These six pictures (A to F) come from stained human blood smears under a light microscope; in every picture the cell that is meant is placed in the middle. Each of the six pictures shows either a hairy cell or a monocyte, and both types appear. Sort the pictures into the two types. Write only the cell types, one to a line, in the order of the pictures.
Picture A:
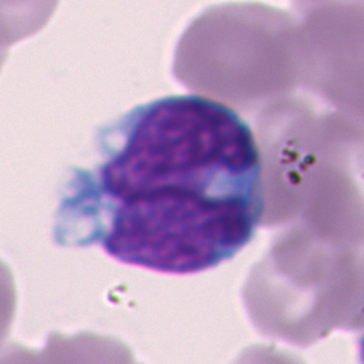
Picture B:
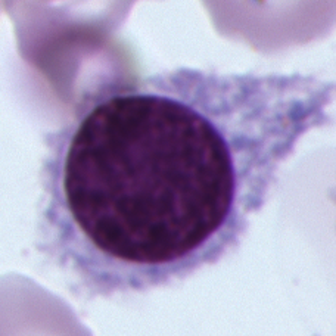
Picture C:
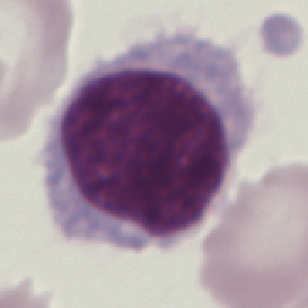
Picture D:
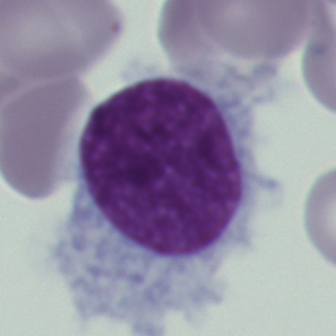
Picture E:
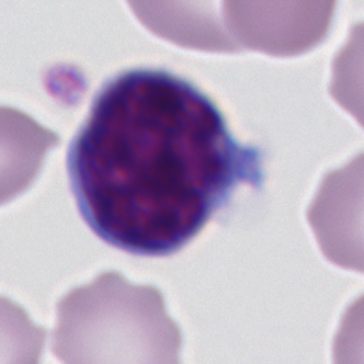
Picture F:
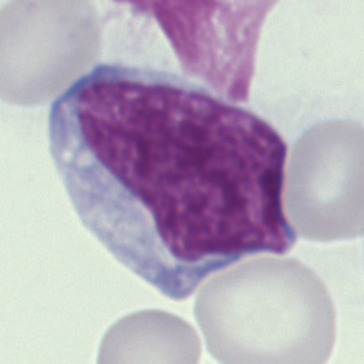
monocyte
hairy cell
hairy cell
hairy cell
hairy cell
monocyte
